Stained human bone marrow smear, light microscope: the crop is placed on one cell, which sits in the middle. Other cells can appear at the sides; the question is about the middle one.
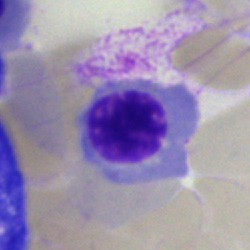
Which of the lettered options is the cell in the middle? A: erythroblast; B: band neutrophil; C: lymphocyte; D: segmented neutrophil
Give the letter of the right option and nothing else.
A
